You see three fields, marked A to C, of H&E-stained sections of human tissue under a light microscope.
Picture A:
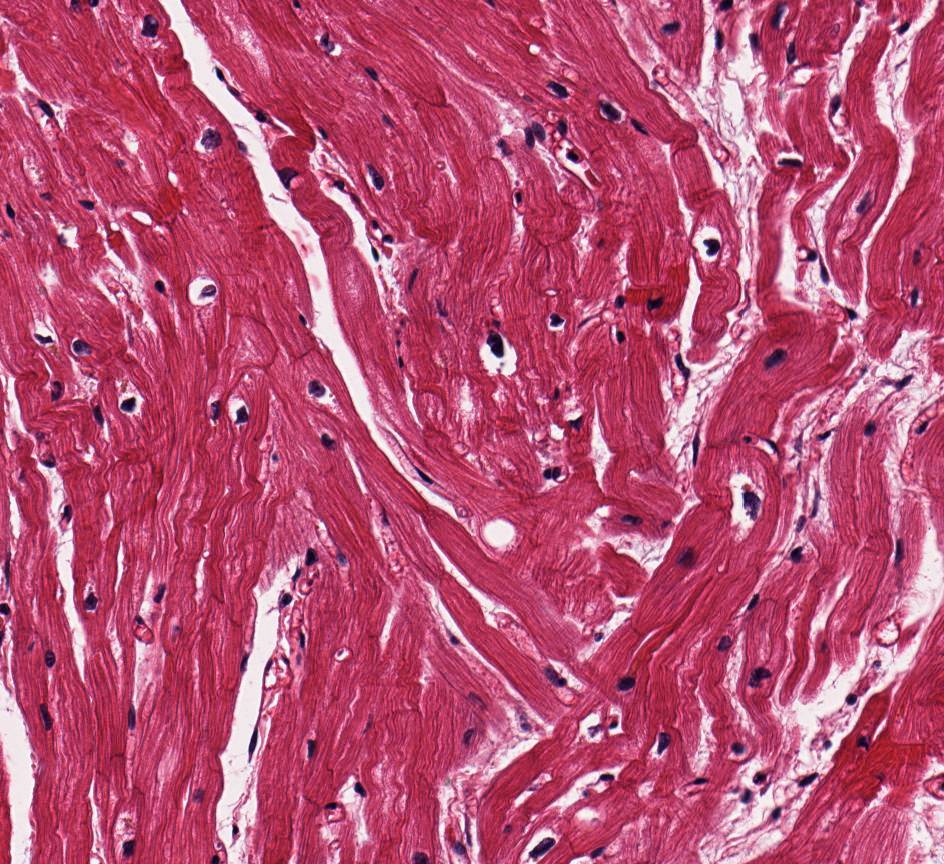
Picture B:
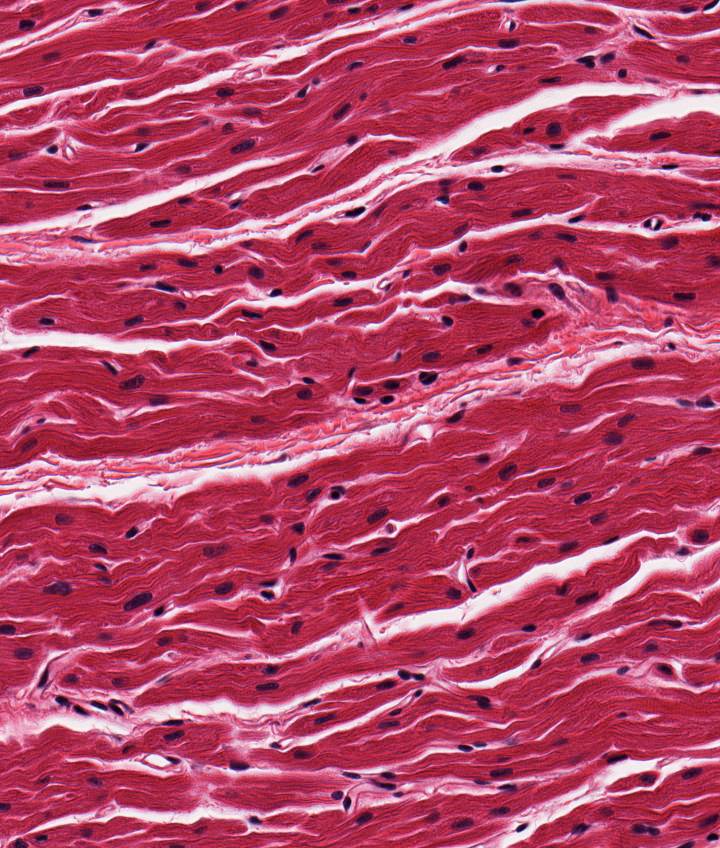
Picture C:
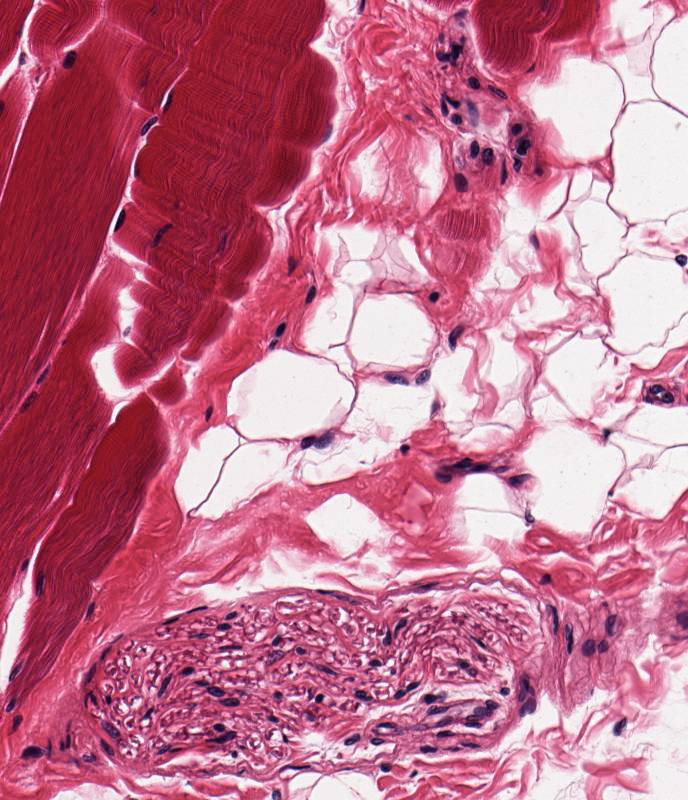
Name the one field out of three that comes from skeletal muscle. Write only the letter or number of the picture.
C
